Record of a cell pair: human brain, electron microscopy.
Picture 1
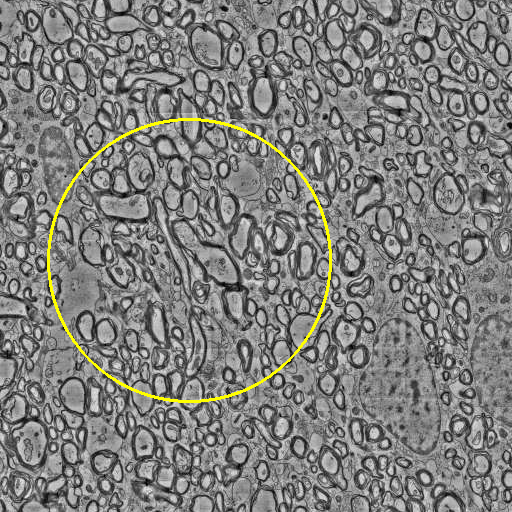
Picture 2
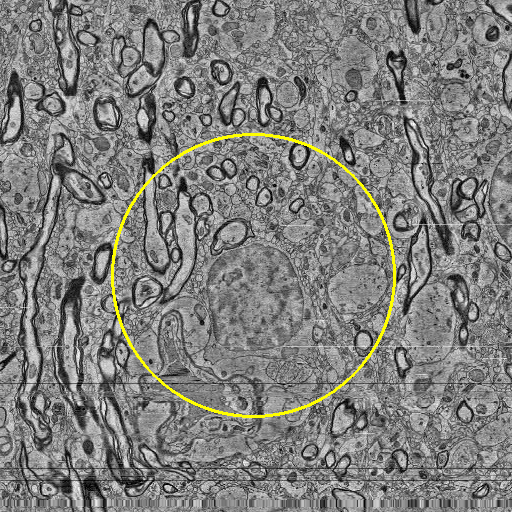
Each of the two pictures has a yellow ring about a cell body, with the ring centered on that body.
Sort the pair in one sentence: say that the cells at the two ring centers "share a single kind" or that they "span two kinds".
The cells centered in the rings of Pictures 1 and 2 share a single kind.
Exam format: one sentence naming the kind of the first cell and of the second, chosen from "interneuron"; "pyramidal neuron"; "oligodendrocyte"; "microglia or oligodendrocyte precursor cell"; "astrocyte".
Each one of the two ringed cells is an oligodendrocyte.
